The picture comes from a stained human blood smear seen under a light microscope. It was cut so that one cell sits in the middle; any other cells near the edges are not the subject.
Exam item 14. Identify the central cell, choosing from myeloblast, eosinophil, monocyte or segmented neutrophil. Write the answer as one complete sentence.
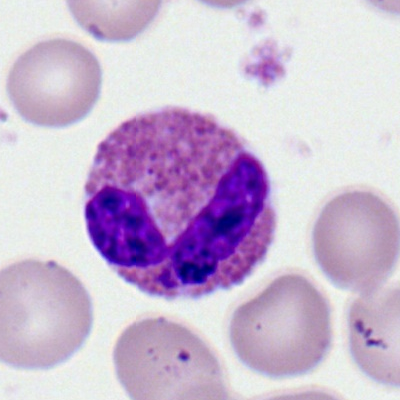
At the middle of the frame sits an eosinophil.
